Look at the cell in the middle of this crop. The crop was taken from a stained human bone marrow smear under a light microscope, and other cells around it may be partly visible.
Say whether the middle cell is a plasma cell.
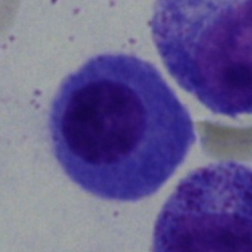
yes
